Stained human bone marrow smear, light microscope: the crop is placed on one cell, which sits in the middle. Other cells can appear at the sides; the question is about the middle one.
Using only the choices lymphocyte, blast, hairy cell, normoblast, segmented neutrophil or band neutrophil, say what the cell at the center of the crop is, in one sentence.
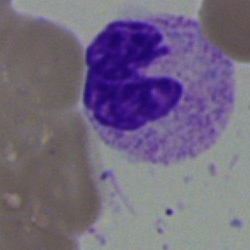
The crop shows a band neutrophil in its centre.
